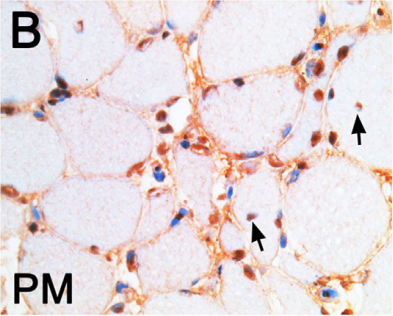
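Skeletal muscle in cross-section shows large pale, rounded to polygonal muscle fibers separated by widened spaces crowded with small infiltrating cells. Many of these interstitial cells and the thin connective tissue around the fibers are stained brown, while other nuclei are blue. A few small brown dots lie inside the muscle fibers themselves.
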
